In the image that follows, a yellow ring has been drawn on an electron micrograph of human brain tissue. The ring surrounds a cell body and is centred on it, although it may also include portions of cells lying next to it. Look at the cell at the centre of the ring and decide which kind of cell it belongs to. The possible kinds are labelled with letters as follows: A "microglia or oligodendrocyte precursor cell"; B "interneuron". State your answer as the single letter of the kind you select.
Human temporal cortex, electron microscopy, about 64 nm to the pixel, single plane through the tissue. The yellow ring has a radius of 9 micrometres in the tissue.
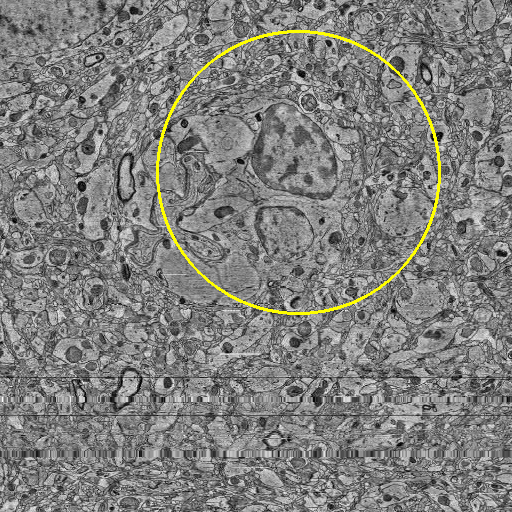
A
